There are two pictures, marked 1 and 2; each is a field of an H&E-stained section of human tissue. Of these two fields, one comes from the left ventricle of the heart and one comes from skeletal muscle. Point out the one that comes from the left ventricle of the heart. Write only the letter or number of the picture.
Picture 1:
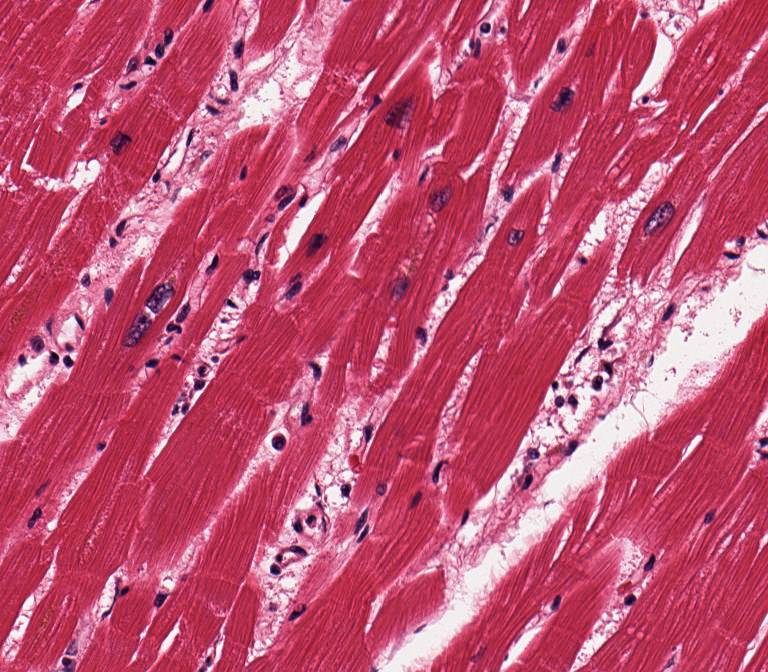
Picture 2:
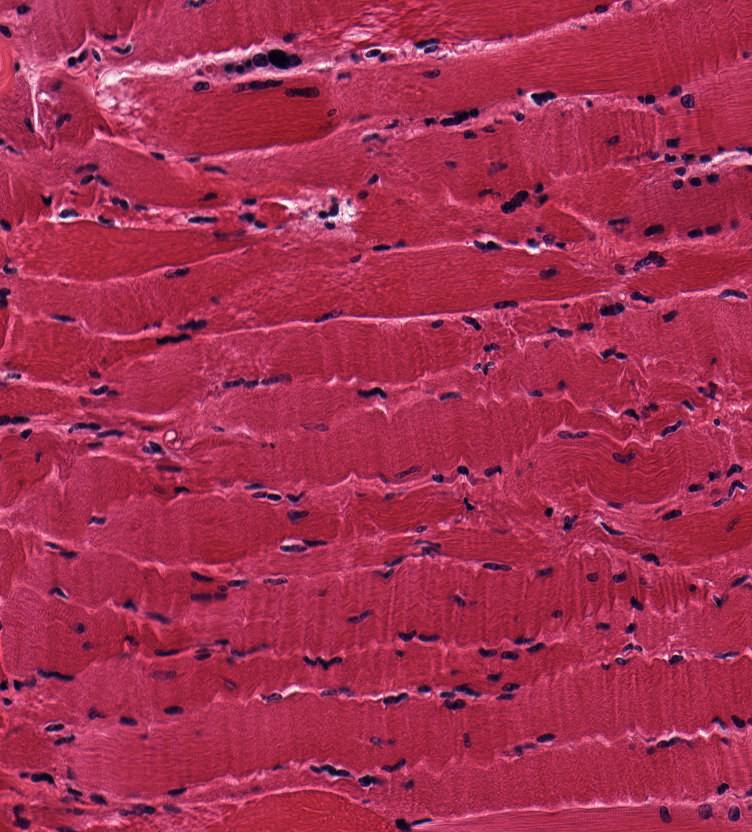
1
